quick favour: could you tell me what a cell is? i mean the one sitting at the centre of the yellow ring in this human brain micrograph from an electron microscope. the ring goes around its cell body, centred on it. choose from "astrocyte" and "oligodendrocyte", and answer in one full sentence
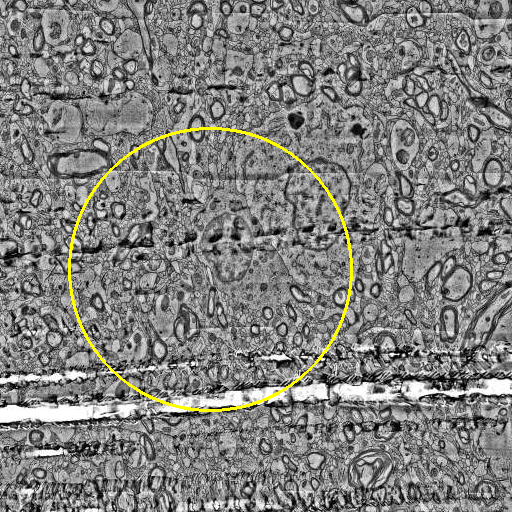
That's an oligodendrocyte, the cell sitting at the centre of the yellow ring.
